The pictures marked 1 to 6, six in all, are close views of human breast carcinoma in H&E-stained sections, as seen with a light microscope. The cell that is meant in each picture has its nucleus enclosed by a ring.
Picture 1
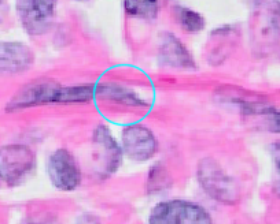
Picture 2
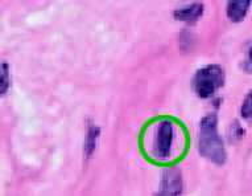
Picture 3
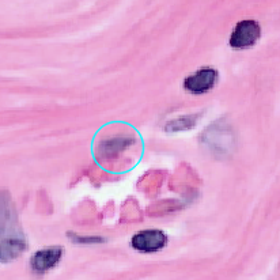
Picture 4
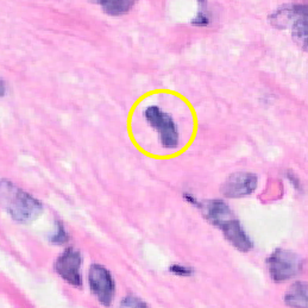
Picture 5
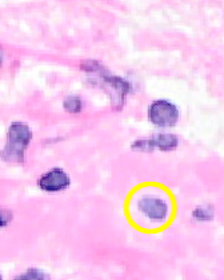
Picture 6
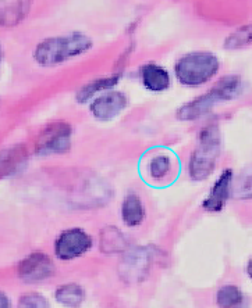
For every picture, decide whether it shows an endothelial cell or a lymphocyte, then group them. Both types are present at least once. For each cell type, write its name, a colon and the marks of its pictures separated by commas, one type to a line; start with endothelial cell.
endothelial cell: 1, 3
lymphocyte: 2, 4, 5, 6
